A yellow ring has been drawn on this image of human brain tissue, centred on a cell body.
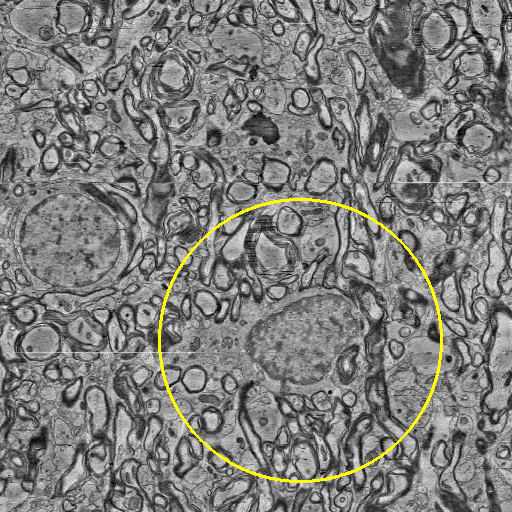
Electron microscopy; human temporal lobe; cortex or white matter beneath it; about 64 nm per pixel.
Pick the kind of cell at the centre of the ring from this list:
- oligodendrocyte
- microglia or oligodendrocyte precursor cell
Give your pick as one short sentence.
The centre of the ring holds an oligodendrocyte.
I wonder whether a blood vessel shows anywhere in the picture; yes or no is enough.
No.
